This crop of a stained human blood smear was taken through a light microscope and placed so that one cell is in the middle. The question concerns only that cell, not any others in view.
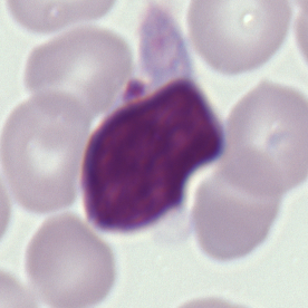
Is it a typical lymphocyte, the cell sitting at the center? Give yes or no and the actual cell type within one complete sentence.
Yes, the cell positioned in the middle is a typical lymphocyte.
